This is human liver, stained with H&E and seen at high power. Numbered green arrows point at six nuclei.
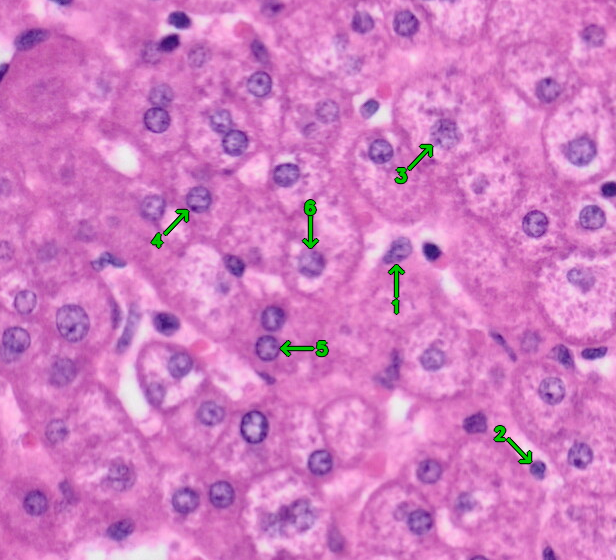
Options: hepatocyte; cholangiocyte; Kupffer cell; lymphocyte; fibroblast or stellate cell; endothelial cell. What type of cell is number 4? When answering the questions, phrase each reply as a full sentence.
The nucleus labelled 4 belongs to a hepatocyte.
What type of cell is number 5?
The cell identified by the number 5 is a hepatocyte.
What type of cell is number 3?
The cell identified by the number 3 is a hepatocyte.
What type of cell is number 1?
The cell that carries the label 1 is a Kupffer cell.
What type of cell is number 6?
The cell referred to as 6 is a hepatocyte.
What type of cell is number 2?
Cell 2, as marked in the section, is a lymphocyte.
